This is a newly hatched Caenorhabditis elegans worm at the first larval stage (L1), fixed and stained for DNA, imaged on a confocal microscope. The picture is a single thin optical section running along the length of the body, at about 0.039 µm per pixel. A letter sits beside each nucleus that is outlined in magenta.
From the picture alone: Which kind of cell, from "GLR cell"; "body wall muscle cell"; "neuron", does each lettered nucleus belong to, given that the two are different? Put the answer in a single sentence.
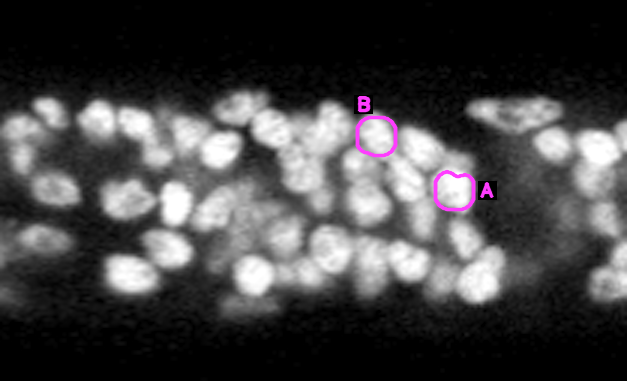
A is in a GLR cell and B is in a neuron.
